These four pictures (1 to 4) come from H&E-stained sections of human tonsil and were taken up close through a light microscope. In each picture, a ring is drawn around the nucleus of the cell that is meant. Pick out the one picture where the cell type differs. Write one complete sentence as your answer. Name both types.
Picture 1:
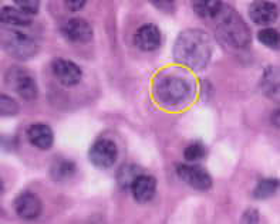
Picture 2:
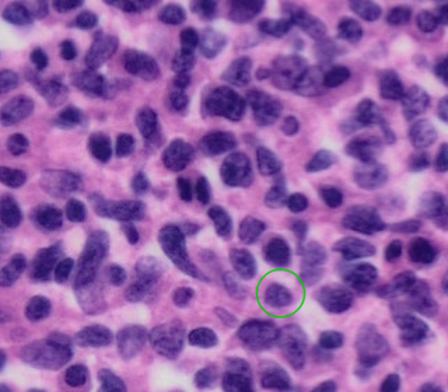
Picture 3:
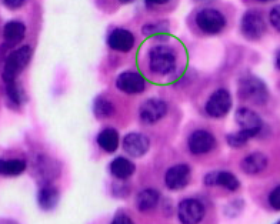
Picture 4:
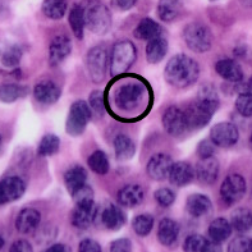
Picture 2 is the odd one out: it shows a proliferating B cell, while the others show plasma cells.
